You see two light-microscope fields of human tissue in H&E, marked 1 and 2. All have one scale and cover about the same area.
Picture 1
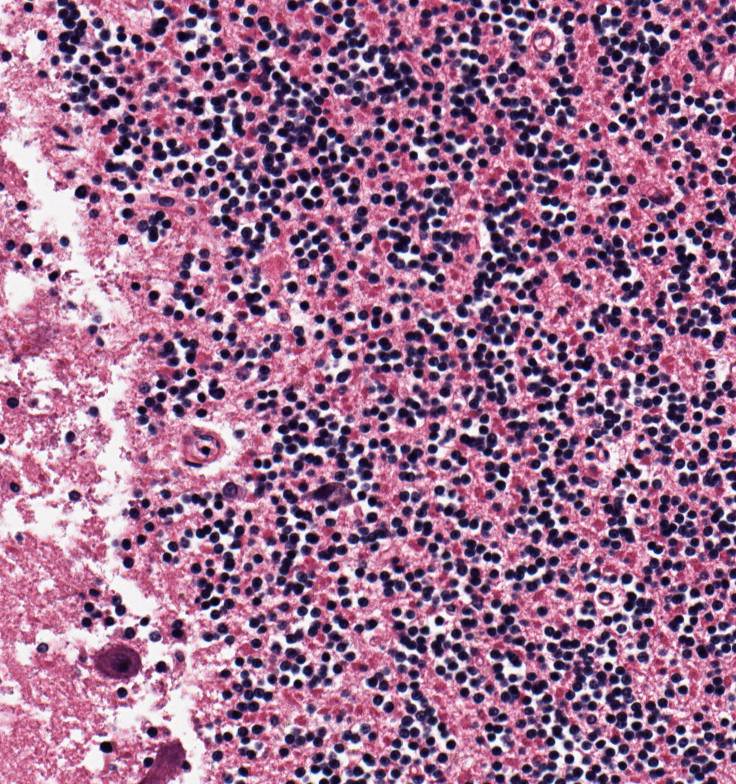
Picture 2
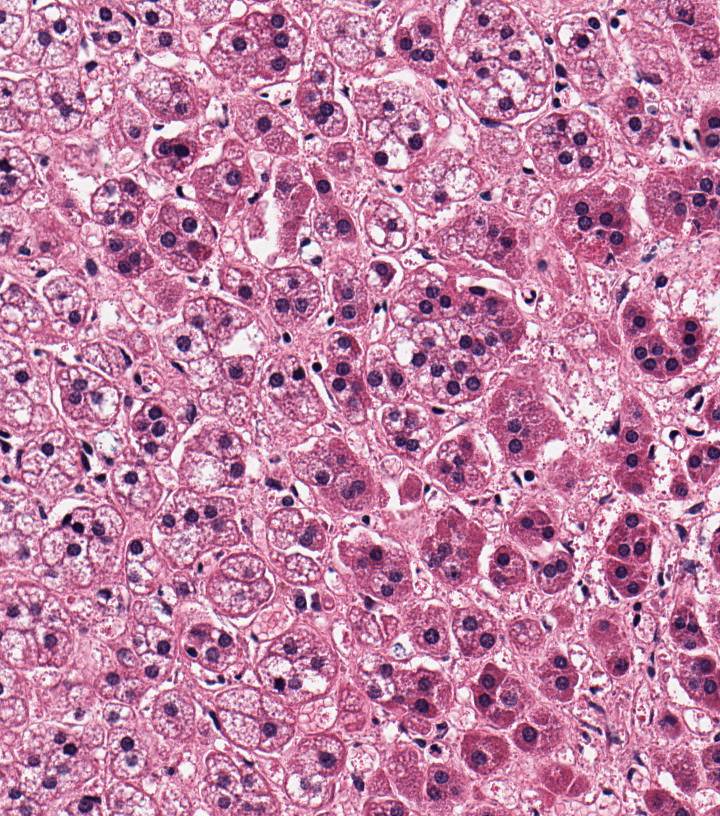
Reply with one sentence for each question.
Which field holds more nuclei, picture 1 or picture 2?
It is picture 1 that has more nuclei in it.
